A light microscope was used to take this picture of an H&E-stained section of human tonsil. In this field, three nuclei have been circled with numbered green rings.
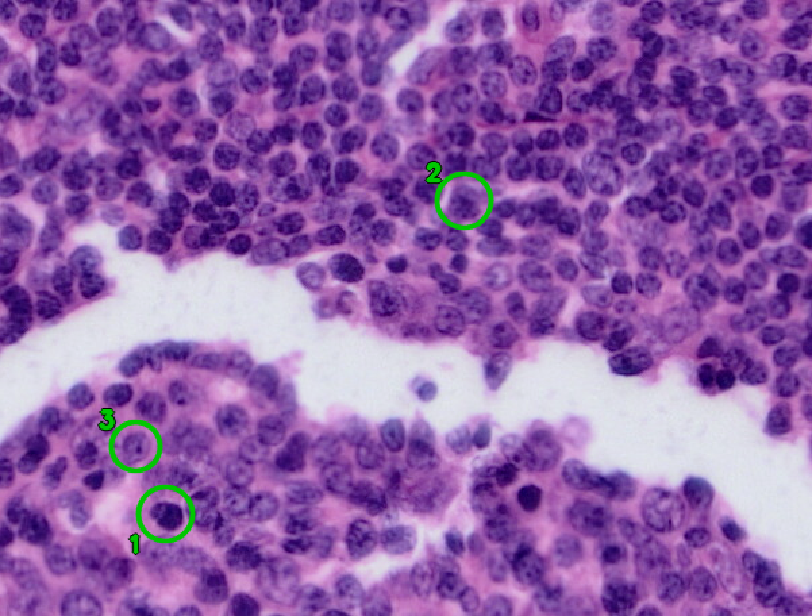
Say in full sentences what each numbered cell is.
Cell 1 is a proliferating B cell, cell 2 is a small lymphocyte and cell 3 is a proliferating B cell.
